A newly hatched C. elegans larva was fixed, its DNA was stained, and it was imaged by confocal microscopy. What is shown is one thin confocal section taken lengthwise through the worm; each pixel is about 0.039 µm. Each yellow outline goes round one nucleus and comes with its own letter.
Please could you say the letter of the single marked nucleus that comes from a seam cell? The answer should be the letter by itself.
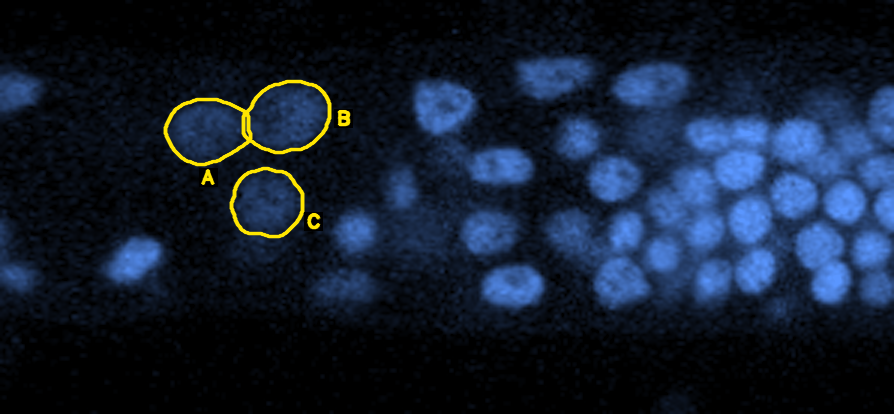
C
